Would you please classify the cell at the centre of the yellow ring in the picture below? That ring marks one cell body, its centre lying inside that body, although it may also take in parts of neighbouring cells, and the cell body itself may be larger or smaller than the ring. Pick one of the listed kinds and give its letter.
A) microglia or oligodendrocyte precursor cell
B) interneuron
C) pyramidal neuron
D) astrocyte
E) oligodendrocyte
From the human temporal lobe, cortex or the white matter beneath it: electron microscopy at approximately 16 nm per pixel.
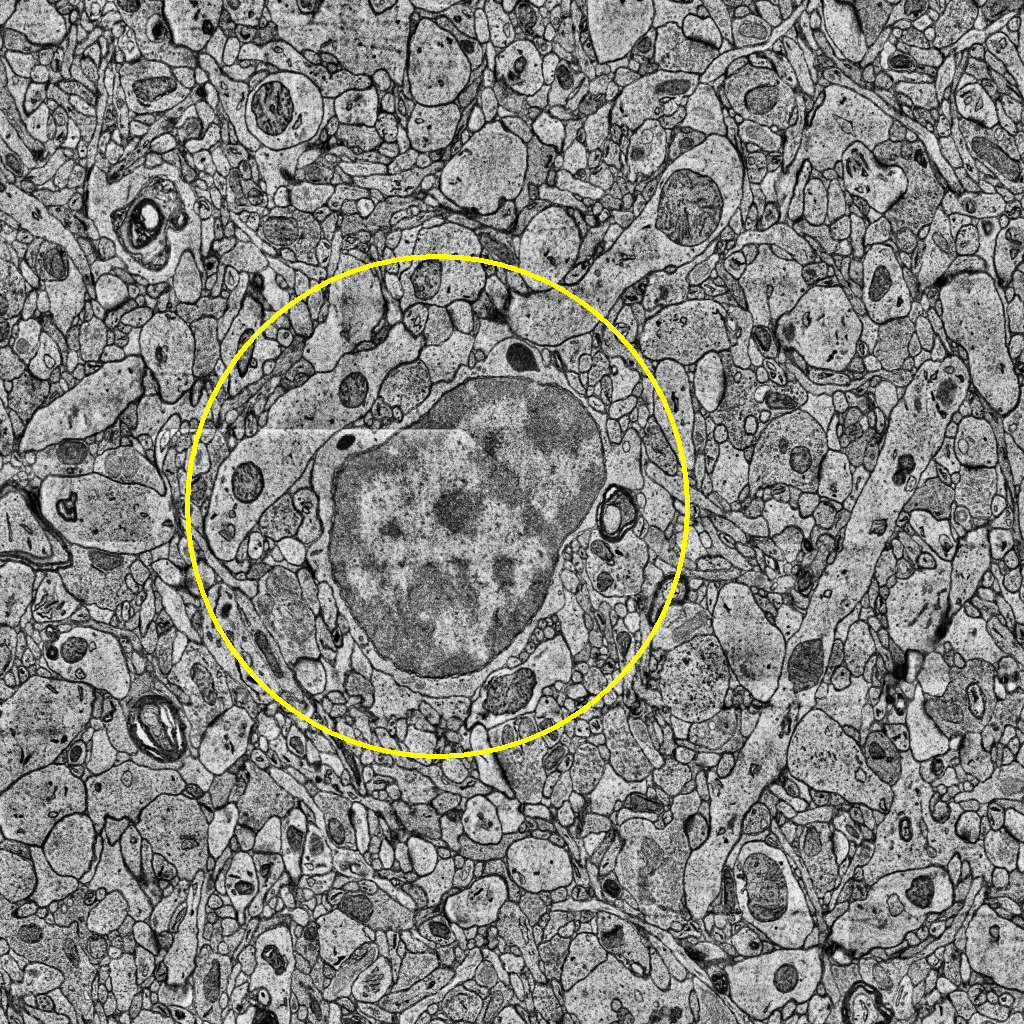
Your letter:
A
